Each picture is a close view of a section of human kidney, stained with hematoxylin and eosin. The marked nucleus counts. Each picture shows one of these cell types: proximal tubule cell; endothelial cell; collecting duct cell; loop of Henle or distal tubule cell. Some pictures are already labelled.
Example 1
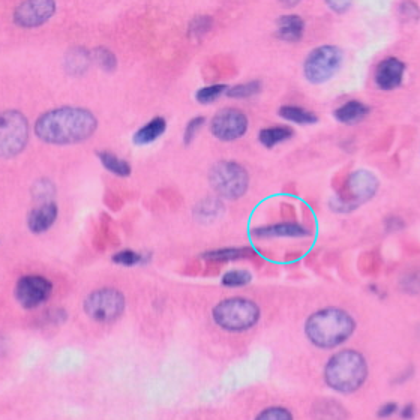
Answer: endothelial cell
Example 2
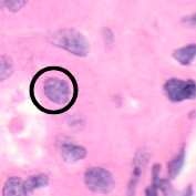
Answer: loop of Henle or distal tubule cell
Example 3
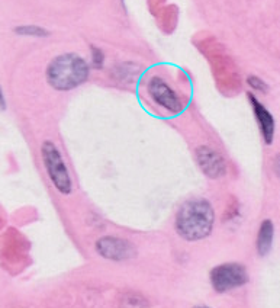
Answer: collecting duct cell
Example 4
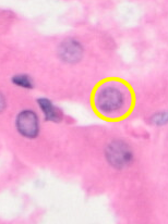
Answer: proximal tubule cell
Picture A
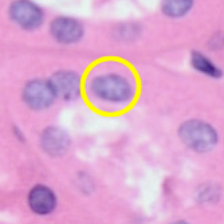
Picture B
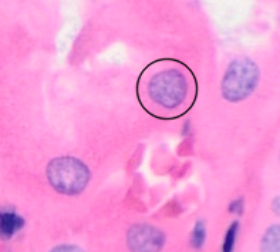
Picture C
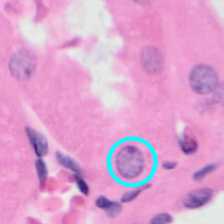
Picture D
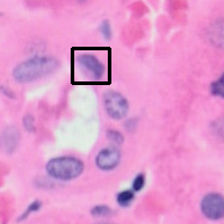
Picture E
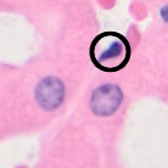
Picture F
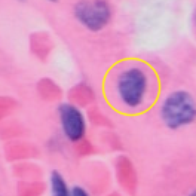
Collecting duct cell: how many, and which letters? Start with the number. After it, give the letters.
1, namely D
